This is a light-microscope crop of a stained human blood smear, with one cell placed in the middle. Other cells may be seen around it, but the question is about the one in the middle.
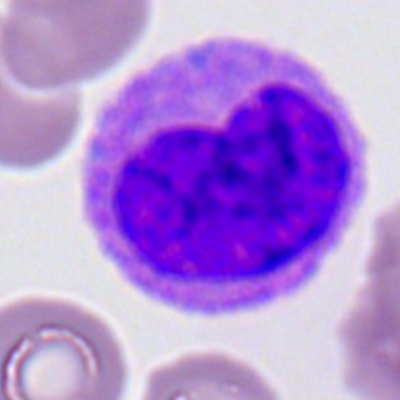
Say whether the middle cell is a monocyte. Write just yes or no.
yes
